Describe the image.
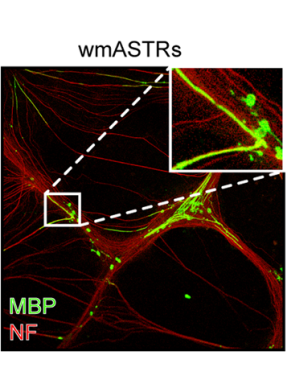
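This culture shows axons as thin red fibres that run in long bundles and sweeping arcs across the field. The enlarged inset shows green segments lying on red fibres. Much of the red network carries no green at all.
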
